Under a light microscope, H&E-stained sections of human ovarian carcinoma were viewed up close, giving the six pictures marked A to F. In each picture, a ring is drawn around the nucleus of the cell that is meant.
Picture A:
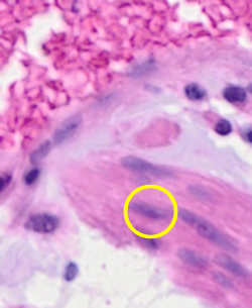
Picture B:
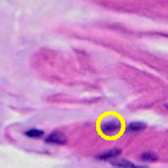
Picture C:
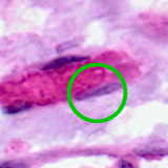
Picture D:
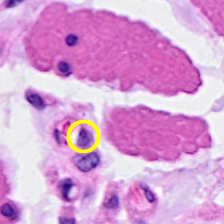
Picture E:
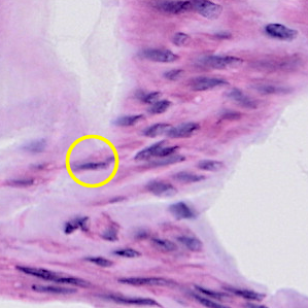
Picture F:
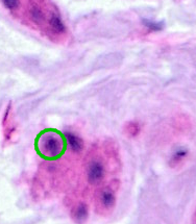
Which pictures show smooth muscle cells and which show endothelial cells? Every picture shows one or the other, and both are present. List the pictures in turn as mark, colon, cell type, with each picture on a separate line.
A: smooth muscle cell
B: smooth muscle cell
C: endothelial cell
D: endothelial cell
E: smooth muscle cell
F: smooth muscle cell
